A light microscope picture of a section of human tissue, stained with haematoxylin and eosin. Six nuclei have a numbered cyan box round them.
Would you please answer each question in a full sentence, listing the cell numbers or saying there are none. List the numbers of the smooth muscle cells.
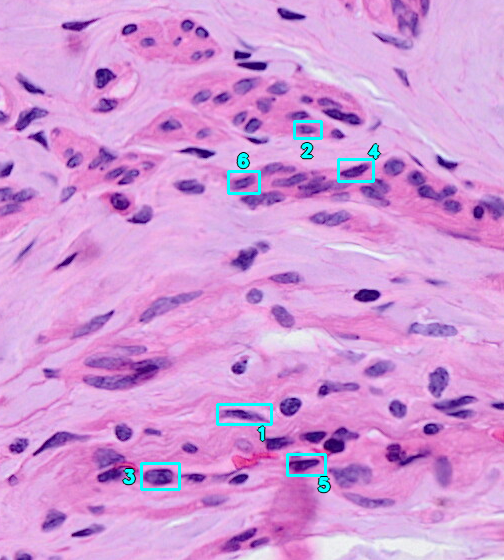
The cells to which the numbers 1, 2, 4 and 6 refer are smooth muscle cells.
